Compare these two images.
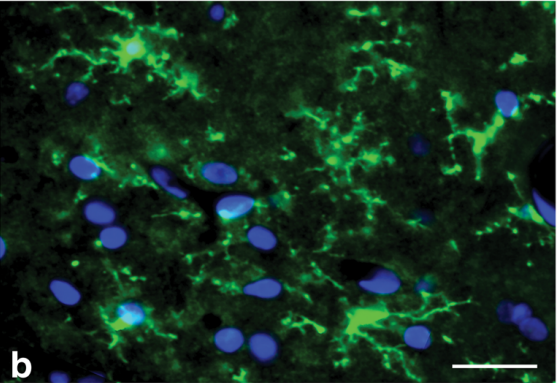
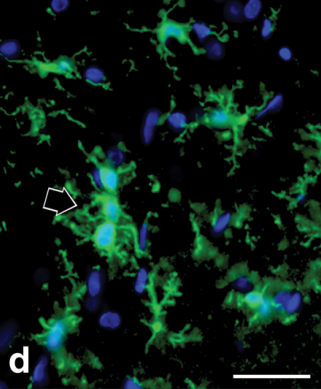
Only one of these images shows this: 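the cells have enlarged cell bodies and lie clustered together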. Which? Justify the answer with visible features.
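Second image: green cells with large, bright bodies and thick processes lie close together in groups. First image: green cells have small bodies with thin processes and lie spread apart.
The second image.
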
